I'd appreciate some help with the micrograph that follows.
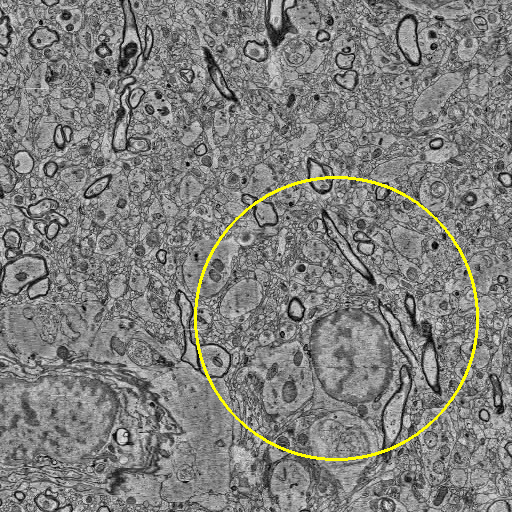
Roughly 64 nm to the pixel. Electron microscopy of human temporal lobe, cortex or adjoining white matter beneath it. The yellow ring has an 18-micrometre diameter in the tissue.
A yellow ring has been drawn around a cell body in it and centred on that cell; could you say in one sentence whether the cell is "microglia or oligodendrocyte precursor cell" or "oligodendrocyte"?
It is an oligodendrocyte at the centre of the ring.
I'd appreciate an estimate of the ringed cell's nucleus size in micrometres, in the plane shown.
Roughly 6 micrometres across for the nucleus, in this plane.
